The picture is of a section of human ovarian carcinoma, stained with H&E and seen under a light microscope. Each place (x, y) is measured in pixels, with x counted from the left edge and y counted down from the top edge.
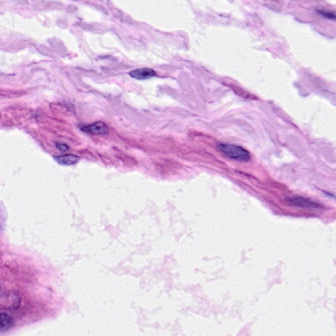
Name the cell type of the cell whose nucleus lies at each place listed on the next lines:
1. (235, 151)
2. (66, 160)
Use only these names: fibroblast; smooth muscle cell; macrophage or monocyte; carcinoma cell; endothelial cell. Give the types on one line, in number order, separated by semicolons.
smooth muscle cell; endothelial cell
